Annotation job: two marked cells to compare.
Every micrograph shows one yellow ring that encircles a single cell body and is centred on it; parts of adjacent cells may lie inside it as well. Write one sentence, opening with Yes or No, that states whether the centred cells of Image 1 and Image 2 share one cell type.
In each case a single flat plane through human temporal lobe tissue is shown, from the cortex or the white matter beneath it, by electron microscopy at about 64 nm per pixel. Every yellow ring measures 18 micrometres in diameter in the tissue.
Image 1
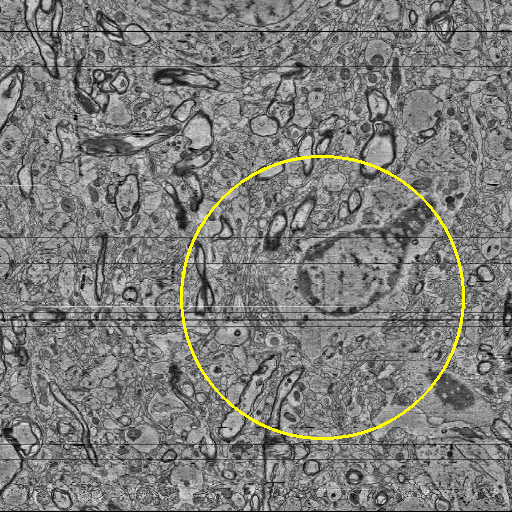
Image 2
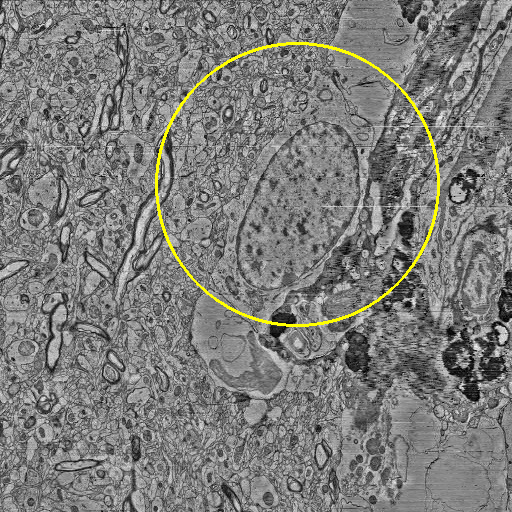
Yes, the cell centred in Image 1 shares its type with the cell centred in Image 2.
